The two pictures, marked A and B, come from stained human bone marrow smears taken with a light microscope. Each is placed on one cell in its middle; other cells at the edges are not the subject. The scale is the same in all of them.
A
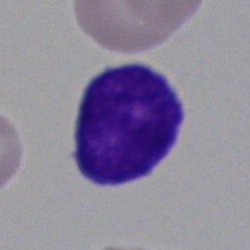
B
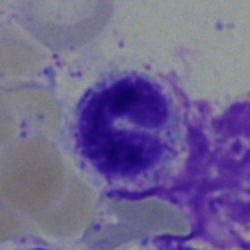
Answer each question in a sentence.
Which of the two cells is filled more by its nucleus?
Of the two, the nucleus in crop A makes up the greater part of its cell.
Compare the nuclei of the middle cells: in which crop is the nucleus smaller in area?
It is the nucleus in crop B; the one in crop A has about 1.5 times its area.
